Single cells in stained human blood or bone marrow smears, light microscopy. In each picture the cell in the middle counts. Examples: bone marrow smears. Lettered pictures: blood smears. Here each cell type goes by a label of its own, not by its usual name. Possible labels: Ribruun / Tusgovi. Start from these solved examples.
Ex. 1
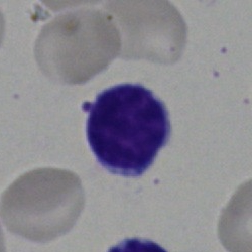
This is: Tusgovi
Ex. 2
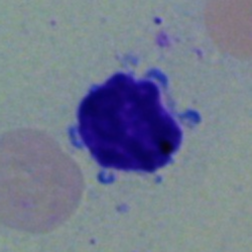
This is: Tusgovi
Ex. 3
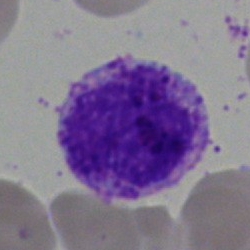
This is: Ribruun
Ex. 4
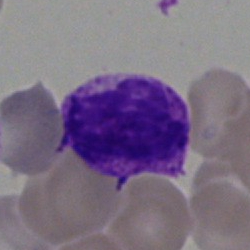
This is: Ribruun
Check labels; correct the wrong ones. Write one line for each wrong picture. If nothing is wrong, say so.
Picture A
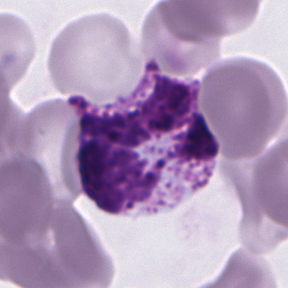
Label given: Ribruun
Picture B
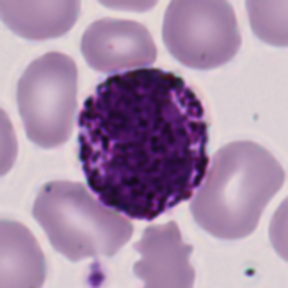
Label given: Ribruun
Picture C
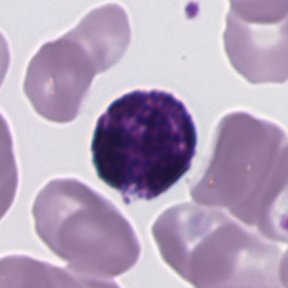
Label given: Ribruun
None of the labels needs changing.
